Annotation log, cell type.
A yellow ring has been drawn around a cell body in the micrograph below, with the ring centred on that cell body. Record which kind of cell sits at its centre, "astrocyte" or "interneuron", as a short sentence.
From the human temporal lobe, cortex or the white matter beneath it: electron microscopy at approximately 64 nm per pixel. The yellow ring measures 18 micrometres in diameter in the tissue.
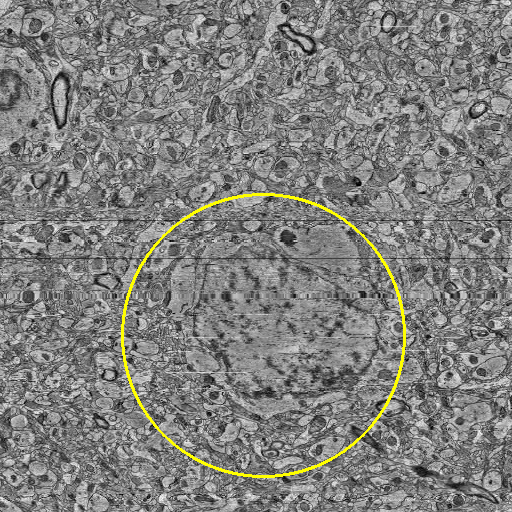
The cell at the centre of this ring is an interneuron.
